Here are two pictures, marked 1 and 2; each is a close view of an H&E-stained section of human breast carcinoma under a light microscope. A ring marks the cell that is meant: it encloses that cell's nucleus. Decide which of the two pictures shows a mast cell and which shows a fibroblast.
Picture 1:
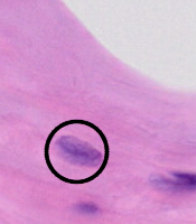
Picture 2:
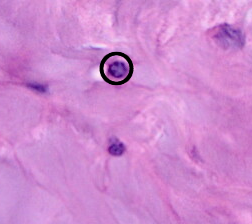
1: fibroblast
2: mast cell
